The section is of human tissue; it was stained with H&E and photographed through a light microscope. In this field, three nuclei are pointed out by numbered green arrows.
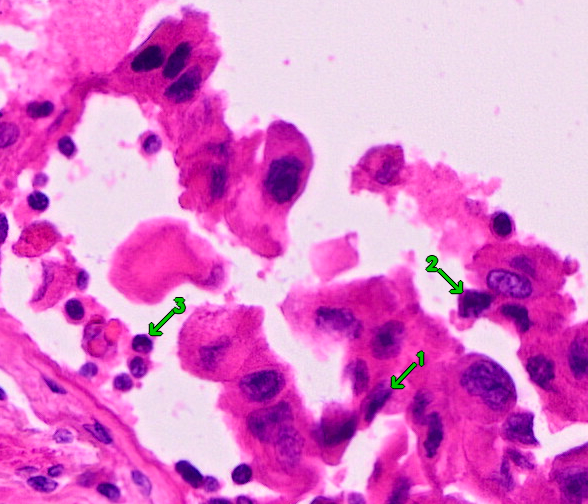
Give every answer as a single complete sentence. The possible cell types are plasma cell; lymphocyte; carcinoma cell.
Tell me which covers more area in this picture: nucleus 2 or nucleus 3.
Nucleus 2 is the larger one, covering about 2 times the area of nucleus 3.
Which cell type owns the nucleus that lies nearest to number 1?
Number 1 lies closest to the nucleus of a carcinoma cell.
